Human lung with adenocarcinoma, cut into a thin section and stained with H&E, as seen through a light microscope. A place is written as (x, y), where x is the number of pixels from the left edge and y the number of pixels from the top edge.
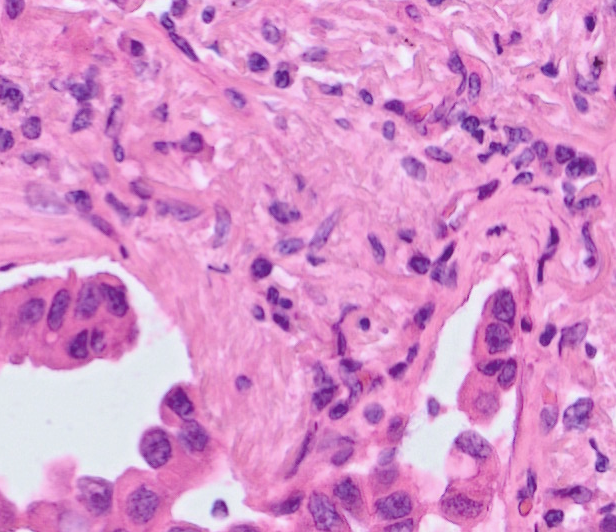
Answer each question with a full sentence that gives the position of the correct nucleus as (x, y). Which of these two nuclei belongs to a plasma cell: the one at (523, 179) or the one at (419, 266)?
Of the pair, the nucleus positioned at (419, 266) is that of a plasma cell.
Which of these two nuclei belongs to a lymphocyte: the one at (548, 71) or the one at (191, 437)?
Between the two nuclei, the one sitting at (548, 71) belongs to a lymphocyte.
